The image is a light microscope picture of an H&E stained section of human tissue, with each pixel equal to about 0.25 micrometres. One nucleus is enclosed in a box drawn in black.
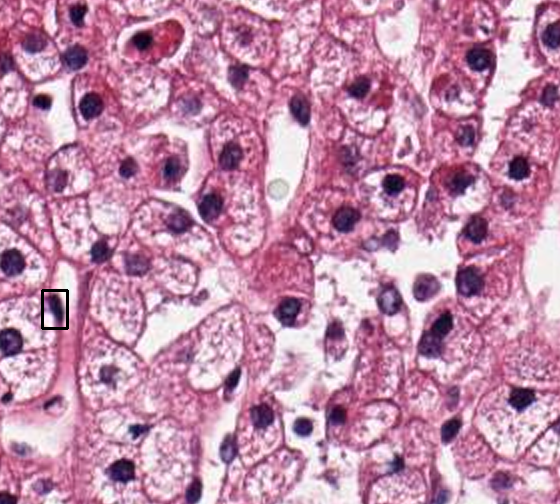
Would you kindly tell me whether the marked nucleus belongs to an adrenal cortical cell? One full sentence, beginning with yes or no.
No, it is to a supporting cell that the marked nucleus belongs, not to an adrenal cortical cell.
